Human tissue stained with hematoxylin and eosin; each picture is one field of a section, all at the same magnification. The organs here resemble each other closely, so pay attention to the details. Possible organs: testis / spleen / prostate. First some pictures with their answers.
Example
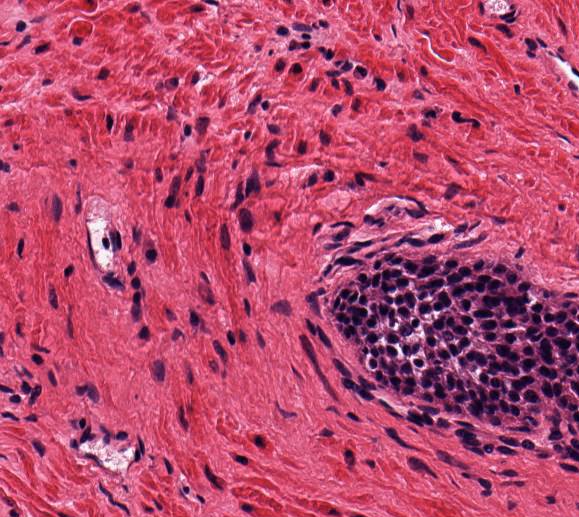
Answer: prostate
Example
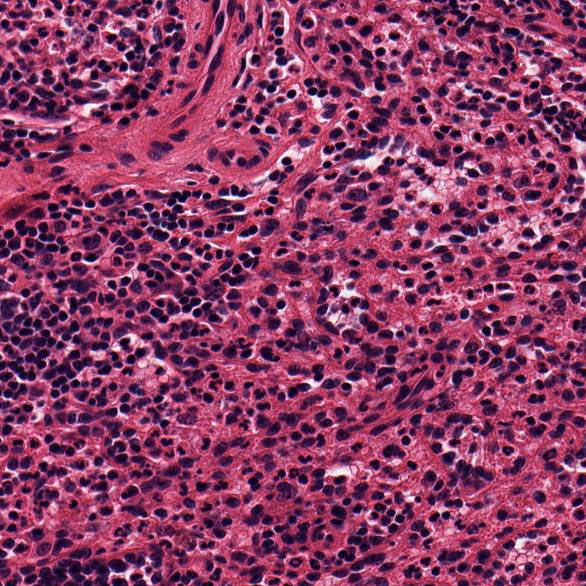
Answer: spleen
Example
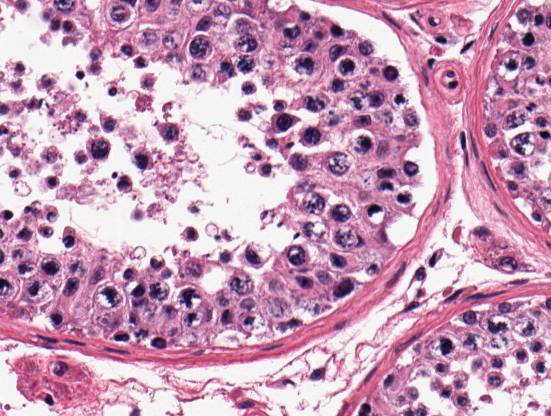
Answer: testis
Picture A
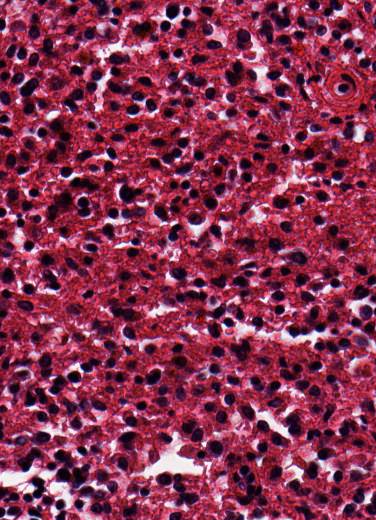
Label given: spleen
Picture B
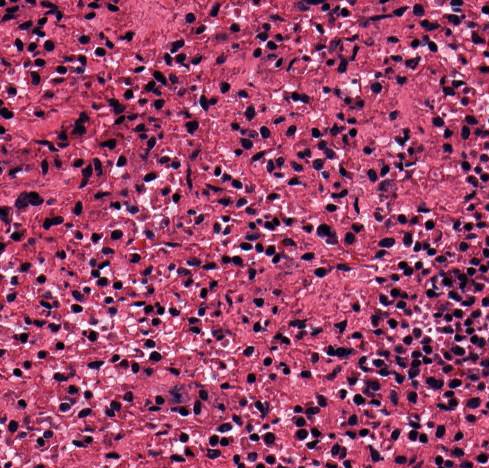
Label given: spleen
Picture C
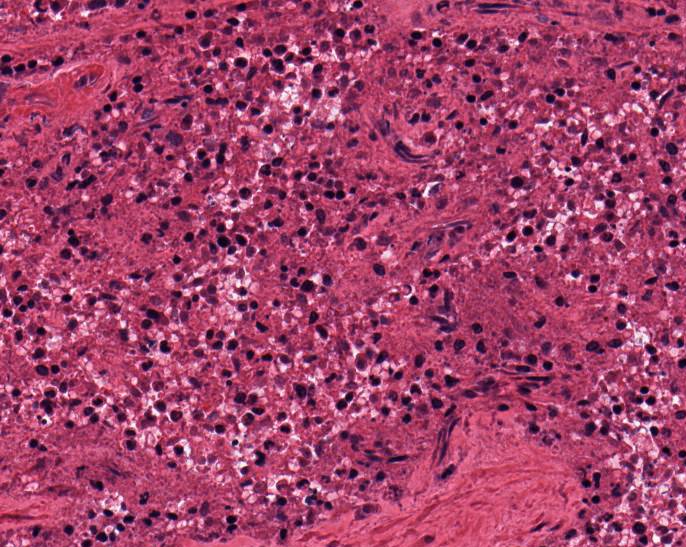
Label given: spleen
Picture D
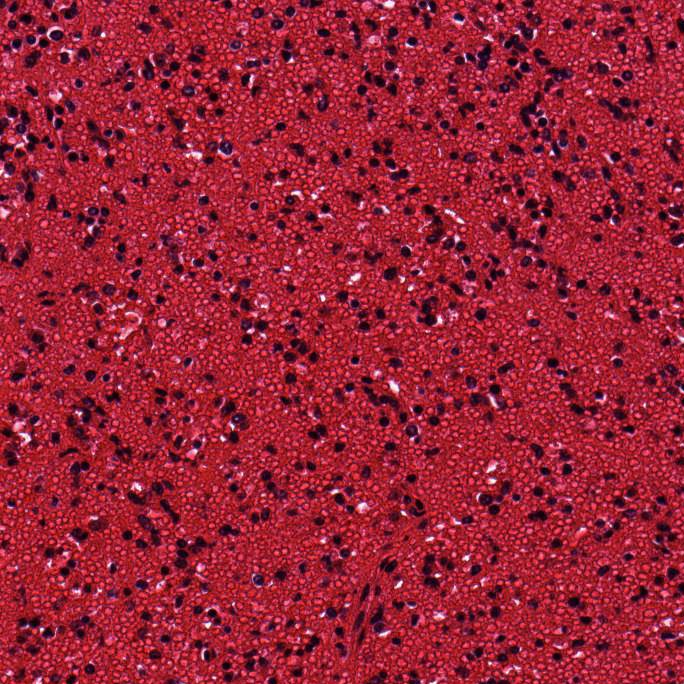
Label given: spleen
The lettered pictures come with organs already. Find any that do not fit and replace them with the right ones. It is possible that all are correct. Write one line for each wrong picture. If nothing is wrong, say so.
Nothing to fix; every label fits.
